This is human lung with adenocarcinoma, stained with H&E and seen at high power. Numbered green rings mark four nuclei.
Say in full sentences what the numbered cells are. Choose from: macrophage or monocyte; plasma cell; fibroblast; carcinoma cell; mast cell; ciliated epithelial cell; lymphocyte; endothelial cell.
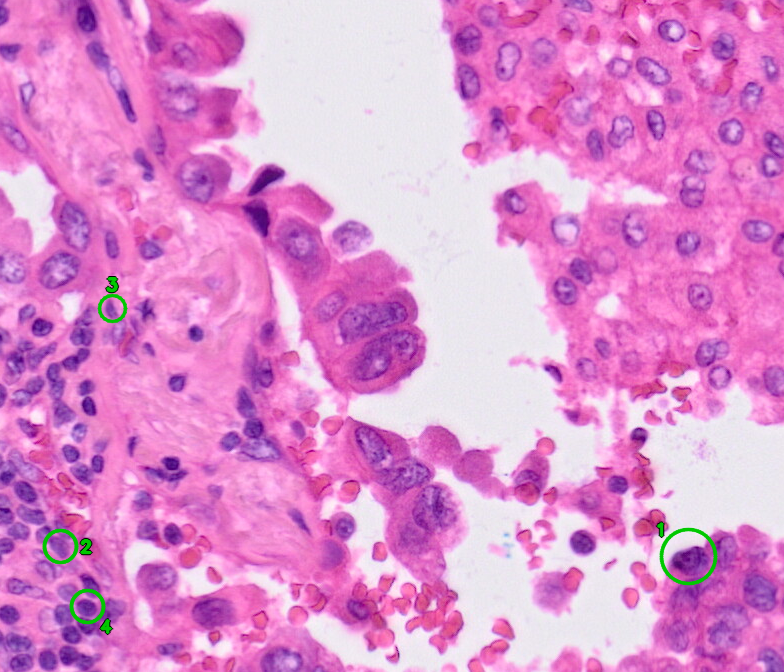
Cell 1 is a carcinoma cell. Cells 2, 3 and 4 are lymphocytes.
